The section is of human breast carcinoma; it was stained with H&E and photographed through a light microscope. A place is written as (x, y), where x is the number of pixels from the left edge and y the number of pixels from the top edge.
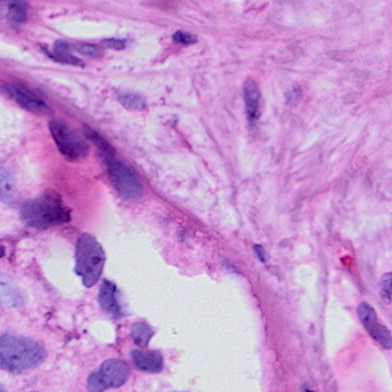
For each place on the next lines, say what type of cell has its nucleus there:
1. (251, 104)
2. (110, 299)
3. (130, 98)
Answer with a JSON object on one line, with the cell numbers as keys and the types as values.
{"1": "fibroblast", "2": "carcinoma cell", "3": "fibroblast"}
